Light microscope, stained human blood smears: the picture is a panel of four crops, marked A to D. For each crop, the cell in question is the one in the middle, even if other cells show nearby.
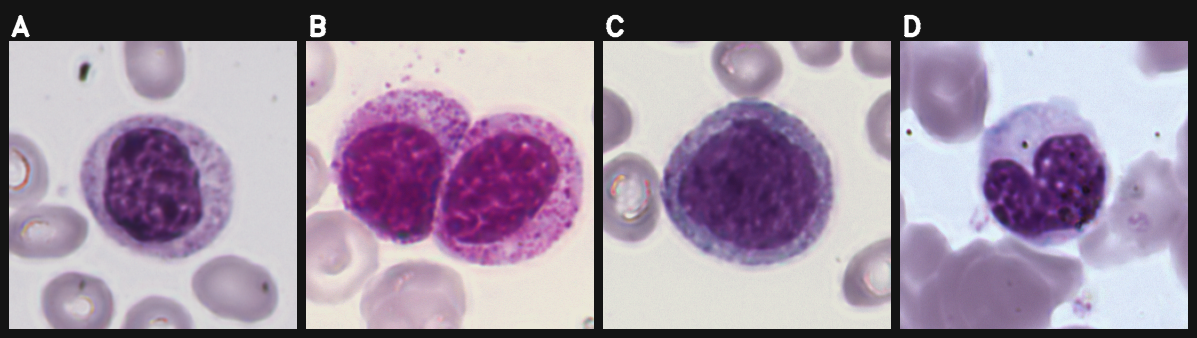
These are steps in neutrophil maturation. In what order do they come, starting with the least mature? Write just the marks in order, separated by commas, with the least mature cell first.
C, B, A, D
